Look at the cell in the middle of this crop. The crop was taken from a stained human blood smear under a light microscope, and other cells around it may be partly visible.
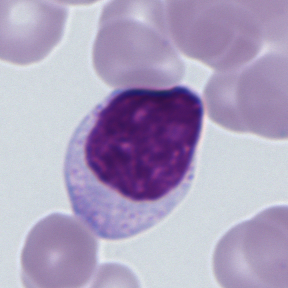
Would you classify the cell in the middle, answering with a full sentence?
The cell marked by its central position in the crop is a large granular lymphocyte.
